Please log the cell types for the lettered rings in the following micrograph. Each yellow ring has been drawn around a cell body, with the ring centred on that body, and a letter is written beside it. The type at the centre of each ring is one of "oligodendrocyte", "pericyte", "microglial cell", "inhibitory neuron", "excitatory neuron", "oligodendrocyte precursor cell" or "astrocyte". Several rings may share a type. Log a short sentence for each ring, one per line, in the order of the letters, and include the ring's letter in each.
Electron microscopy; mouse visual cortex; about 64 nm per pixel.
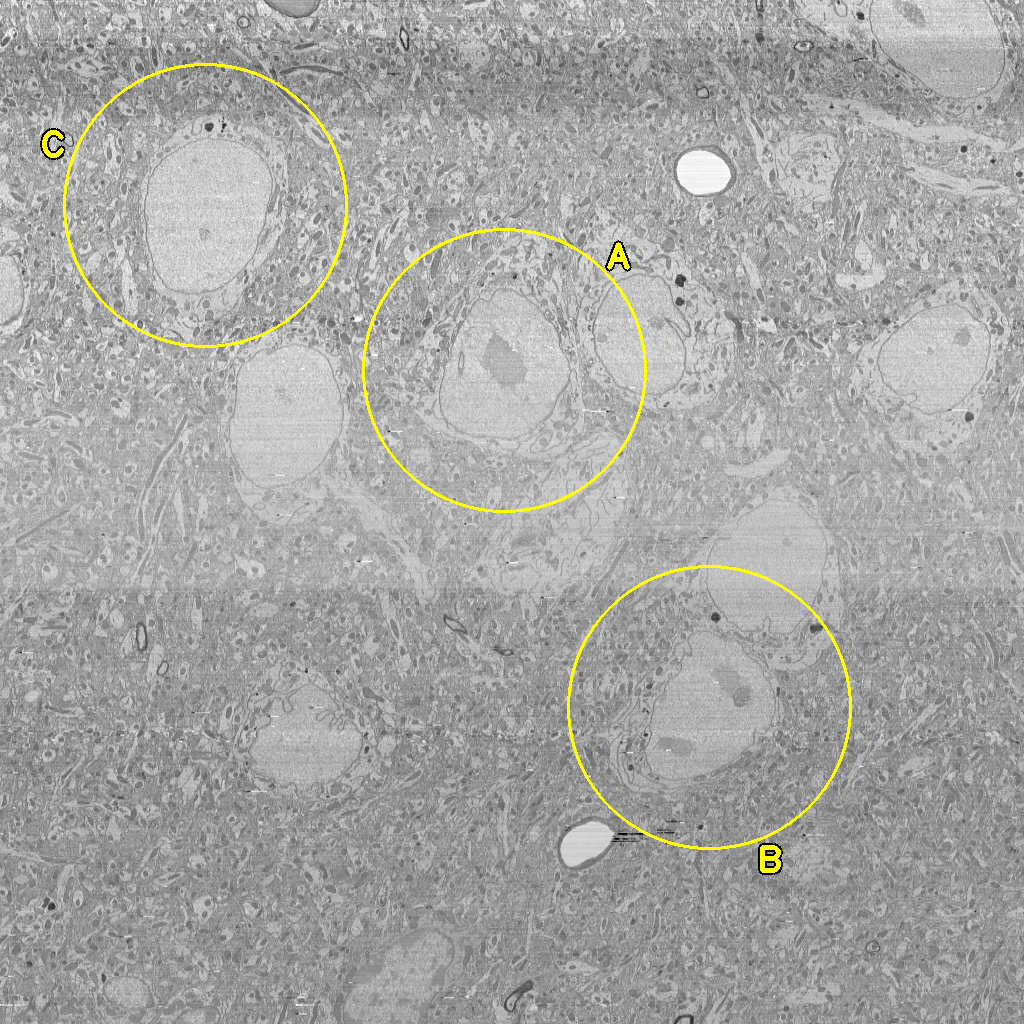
In ring A the central cell is an inhibitory neuron.
In ring B the central cell is an inhibitory neuron.
In ring C the central cell is an excitatory neuron.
